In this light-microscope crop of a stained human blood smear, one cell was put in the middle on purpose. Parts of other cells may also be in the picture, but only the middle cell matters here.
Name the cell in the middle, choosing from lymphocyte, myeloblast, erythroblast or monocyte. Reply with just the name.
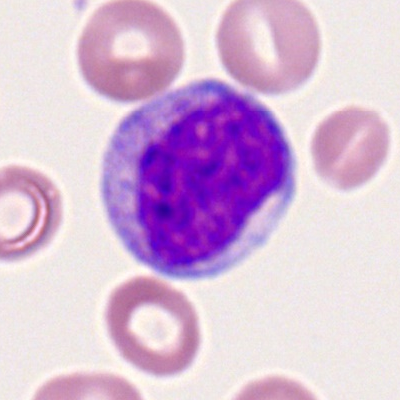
monocyte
